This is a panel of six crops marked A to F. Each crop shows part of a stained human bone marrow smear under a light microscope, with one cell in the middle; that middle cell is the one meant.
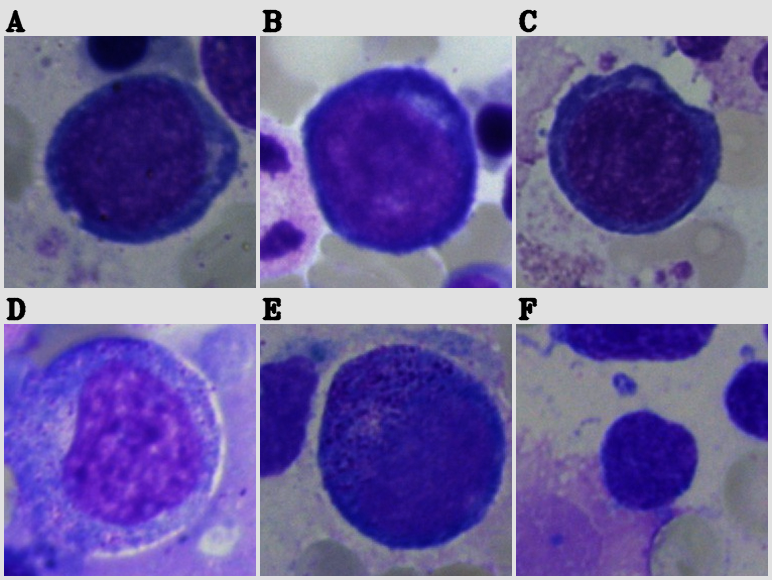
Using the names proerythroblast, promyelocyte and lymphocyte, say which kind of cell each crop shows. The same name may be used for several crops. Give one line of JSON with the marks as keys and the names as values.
{"A": "proerythroblast", "B": "proerythroblast", "C": "proerythroblast", "D": "promyelocyte", "E": "promyelocyte", "F": "lymphocyte"}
